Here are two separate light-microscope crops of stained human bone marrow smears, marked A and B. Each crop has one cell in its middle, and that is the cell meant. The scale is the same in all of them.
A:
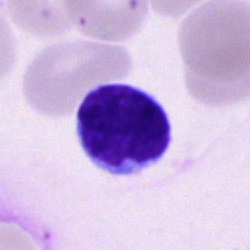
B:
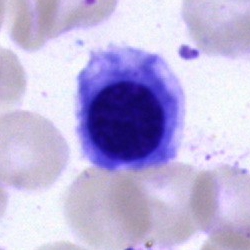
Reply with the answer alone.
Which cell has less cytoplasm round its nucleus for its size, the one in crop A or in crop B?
A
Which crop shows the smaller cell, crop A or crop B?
A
